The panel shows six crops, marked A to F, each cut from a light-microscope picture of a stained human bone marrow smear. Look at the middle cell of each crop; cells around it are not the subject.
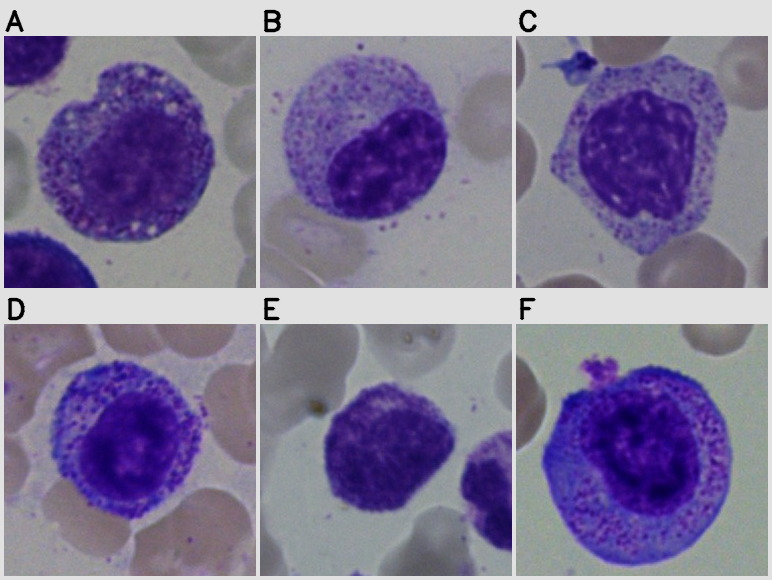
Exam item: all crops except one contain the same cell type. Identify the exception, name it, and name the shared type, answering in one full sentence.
Crop F is the exception in this set, showing a promyelocyte while the others show myelocytes.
